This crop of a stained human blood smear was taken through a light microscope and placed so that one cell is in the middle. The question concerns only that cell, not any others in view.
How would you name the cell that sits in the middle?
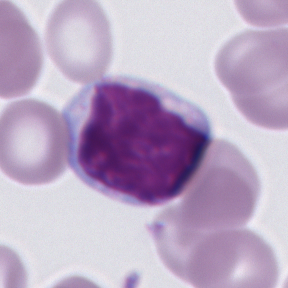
large granular lymphocyte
